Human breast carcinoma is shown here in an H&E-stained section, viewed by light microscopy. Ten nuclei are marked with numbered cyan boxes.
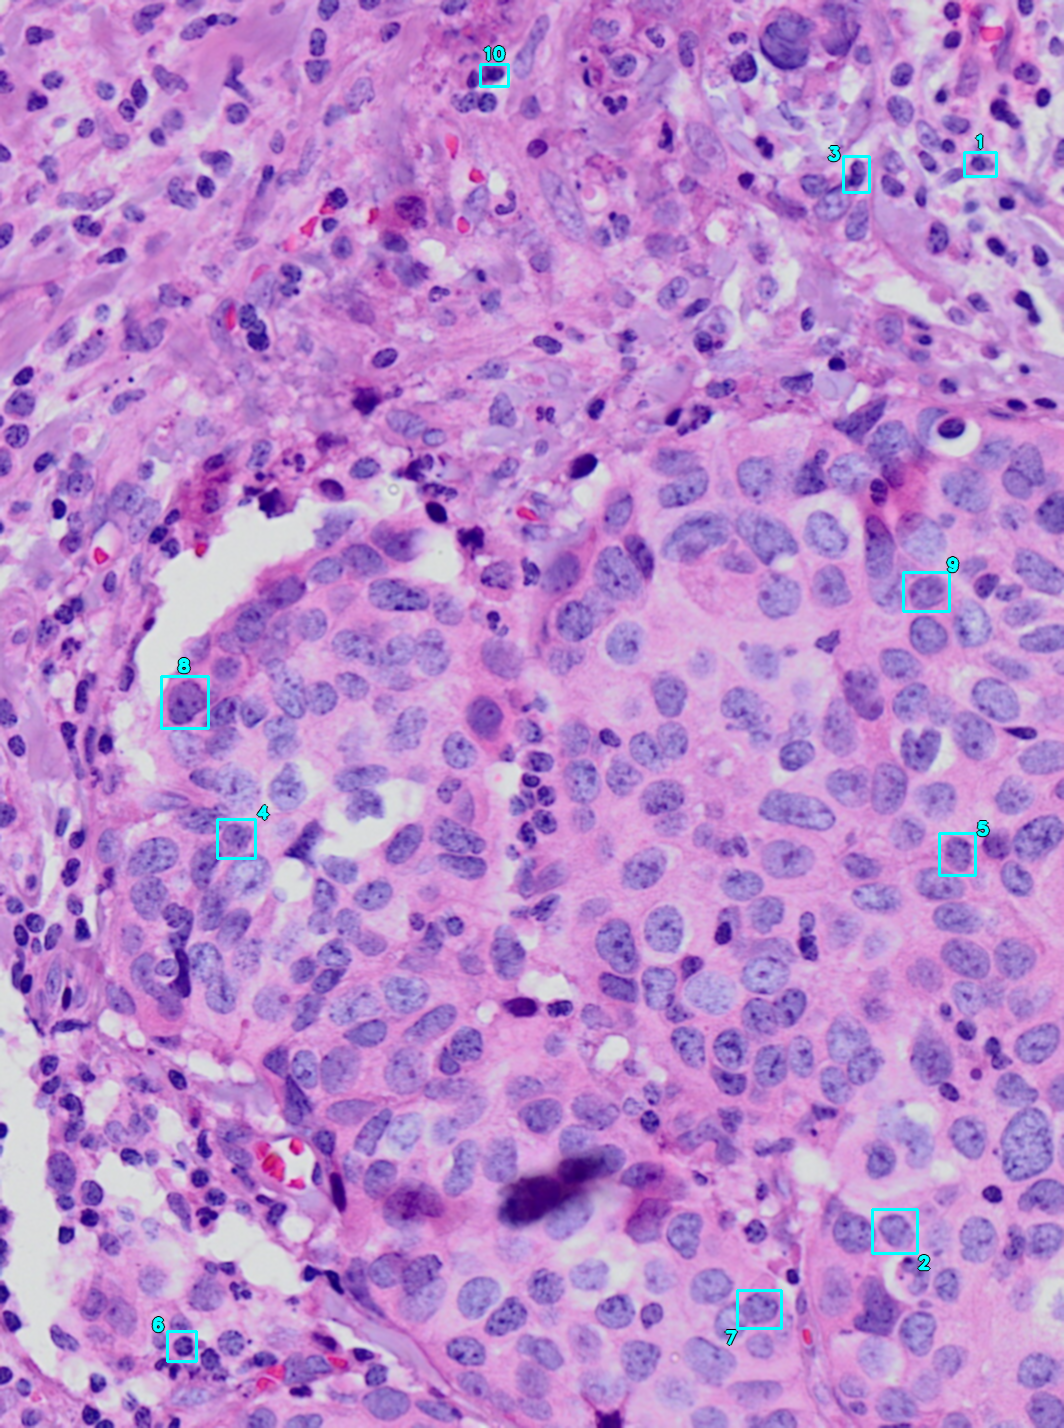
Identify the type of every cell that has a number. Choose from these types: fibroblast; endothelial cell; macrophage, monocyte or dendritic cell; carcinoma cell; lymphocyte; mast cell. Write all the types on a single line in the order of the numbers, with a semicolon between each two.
lymphocyte; carcinoma cell; lymphocyte; carcinoma cell; carcinoma cell; lymphocyte; carcinoma cell; carcinoma cell; carcinoma cell; lymphocyte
